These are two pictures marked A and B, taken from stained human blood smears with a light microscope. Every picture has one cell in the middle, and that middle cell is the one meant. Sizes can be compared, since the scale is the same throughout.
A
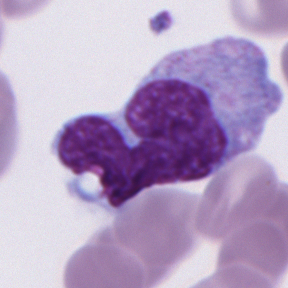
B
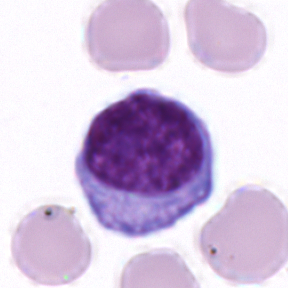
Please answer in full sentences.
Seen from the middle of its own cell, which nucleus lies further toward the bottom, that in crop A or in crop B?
The nucleus in crop A lies further toward the bottom of its cell.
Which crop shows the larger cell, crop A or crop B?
The cell in crop A is larger, with about 1.5 times the area of the one in crop B.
